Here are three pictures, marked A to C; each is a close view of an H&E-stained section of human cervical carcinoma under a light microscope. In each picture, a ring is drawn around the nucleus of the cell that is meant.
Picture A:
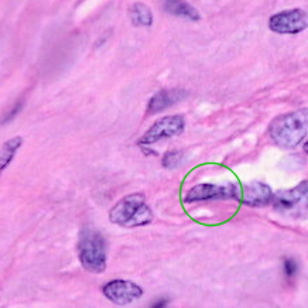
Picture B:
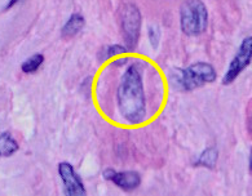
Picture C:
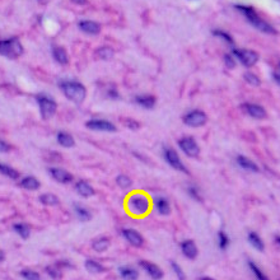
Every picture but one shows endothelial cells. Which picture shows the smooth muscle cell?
C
